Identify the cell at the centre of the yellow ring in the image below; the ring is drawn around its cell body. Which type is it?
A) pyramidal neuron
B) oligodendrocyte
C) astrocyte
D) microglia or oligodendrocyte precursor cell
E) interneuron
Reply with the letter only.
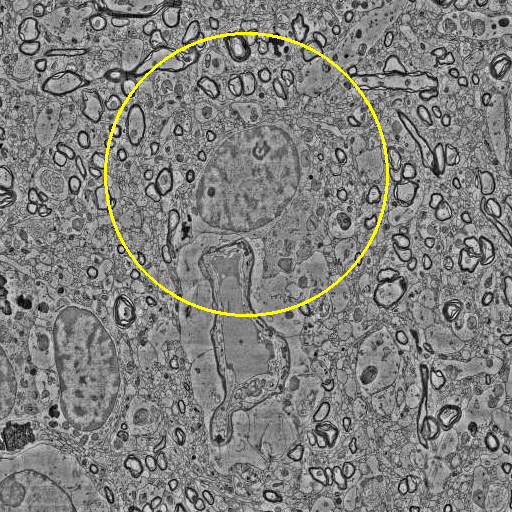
B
